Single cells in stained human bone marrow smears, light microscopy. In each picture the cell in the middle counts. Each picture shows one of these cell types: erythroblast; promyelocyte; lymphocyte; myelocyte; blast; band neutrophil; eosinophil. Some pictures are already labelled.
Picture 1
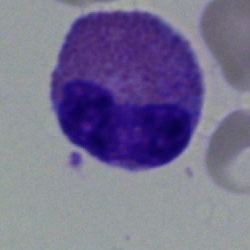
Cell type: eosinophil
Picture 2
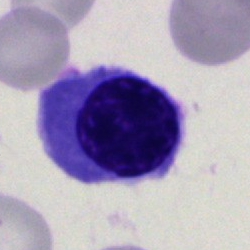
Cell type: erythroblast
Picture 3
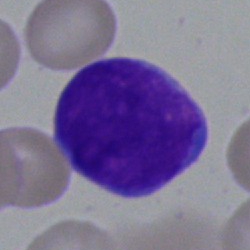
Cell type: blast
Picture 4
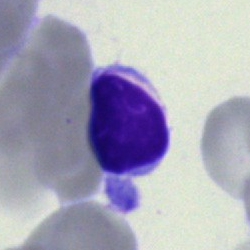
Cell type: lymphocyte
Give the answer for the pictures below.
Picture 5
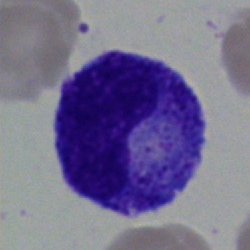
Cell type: promyelocyte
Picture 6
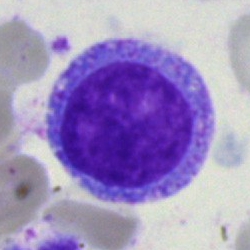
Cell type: blast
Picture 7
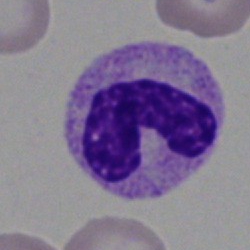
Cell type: band neutrophil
